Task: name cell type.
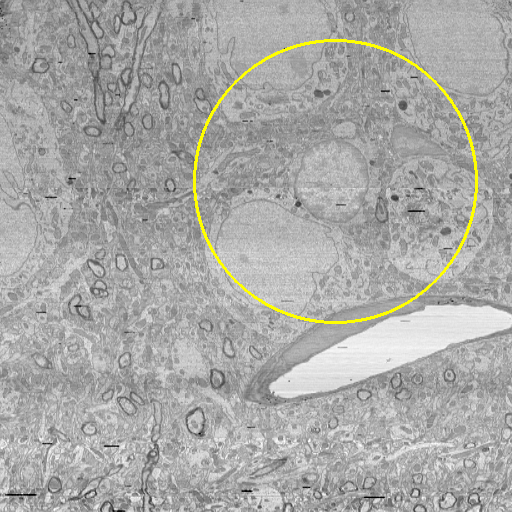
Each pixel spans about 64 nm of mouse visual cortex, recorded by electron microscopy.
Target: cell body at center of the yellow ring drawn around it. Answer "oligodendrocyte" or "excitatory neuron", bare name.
oligodendrocyte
